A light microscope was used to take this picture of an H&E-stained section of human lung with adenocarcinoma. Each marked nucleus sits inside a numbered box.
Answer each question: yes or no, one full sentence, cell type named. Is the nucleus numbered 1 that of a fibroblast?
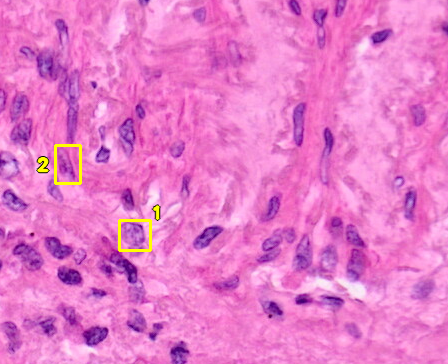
Yes, the cell that is numbered 1 is a fibroblast.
